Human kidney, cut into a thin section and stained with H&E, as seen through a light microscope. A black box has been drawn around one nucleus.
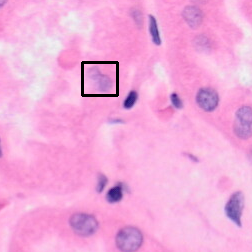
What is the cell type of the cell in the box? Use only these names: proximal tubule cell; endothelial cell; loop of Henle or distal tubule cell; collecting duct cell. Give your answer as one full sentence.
It is a proximal tubule cell that the cell in the box represents.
